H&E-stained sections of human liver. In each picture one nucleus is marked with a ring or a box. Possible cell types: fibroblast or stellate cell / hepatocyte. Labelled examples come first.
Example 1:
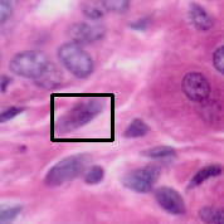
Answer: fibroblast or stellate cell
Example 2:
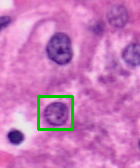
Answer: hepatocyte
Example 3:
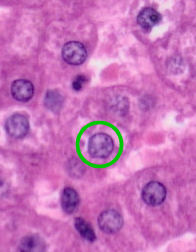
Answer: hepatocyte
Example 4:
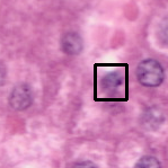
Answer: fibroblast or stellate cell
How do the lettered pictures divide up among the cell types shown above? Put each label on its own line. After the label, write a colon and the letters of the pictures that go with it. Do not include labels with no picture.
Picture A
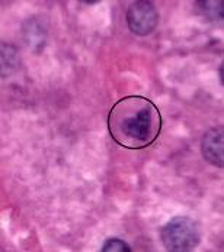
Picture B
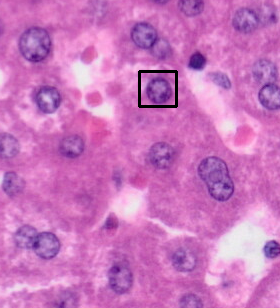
fibroblast or stellate cell: A
hepatocyte: B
